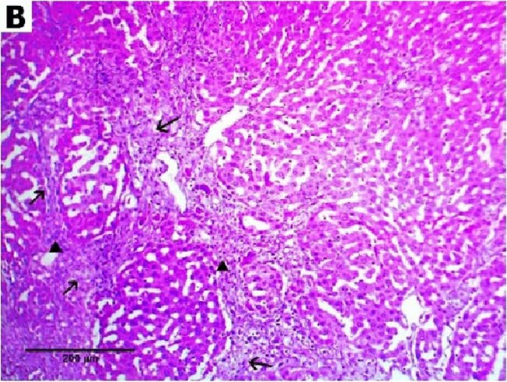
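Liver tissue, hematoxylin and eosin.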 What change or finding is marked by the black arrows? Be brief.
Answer: Marked fibrosis.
